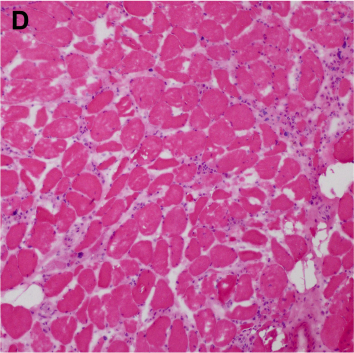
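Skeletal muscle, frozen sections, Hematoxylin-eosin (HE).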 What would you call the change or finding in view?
lymphocyte infiltration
